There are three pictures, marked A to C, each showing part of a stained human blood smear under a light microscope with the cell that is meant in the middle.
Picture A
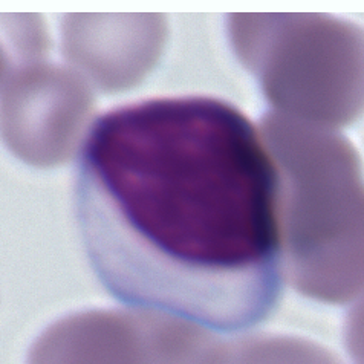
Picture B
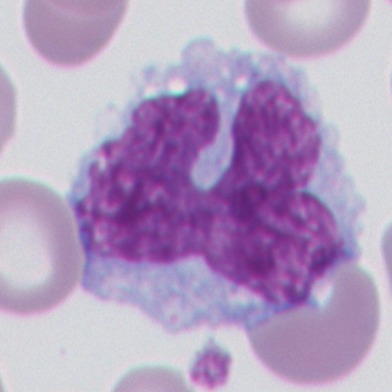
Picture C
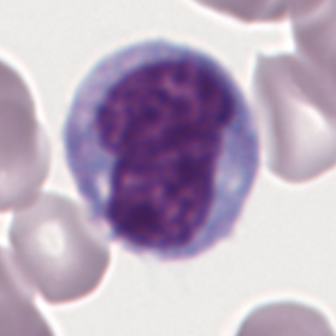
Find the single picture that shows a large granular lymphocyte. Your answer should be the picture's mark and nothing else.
A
